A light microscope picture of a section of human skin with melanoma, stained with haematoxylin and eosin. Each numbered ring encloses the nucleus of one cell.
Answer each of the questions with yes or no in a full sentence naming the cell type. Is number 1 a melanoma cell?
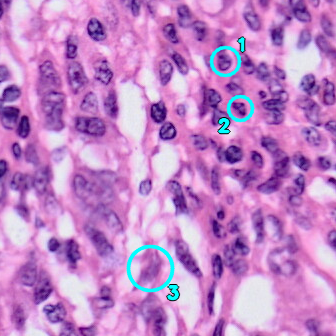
No, number 1 marks a lymphocyte rather than a melanoma cell.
